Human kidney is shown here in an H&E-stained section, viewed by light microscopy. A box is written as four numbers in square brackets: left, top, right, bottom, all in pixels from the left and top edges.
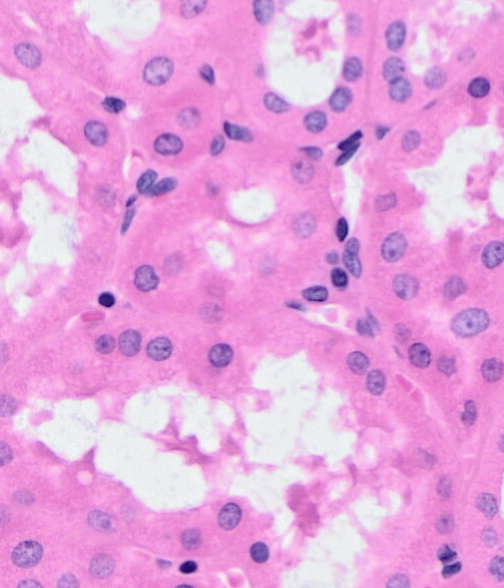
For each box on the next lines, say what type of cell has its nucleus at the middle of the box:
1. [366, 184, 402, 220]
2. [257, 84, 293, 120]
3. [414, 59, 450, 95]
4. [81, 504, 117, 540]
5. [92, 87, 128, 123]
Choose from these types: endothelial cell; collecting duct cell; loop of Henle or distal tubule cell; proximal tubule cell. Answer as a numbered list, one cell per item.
1. proximal tubule cell
2. loop of Henle or distal tubule cell
3. loop of Henle or distal tubule cell
4. proximal tubule cell
5. endothelial cell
